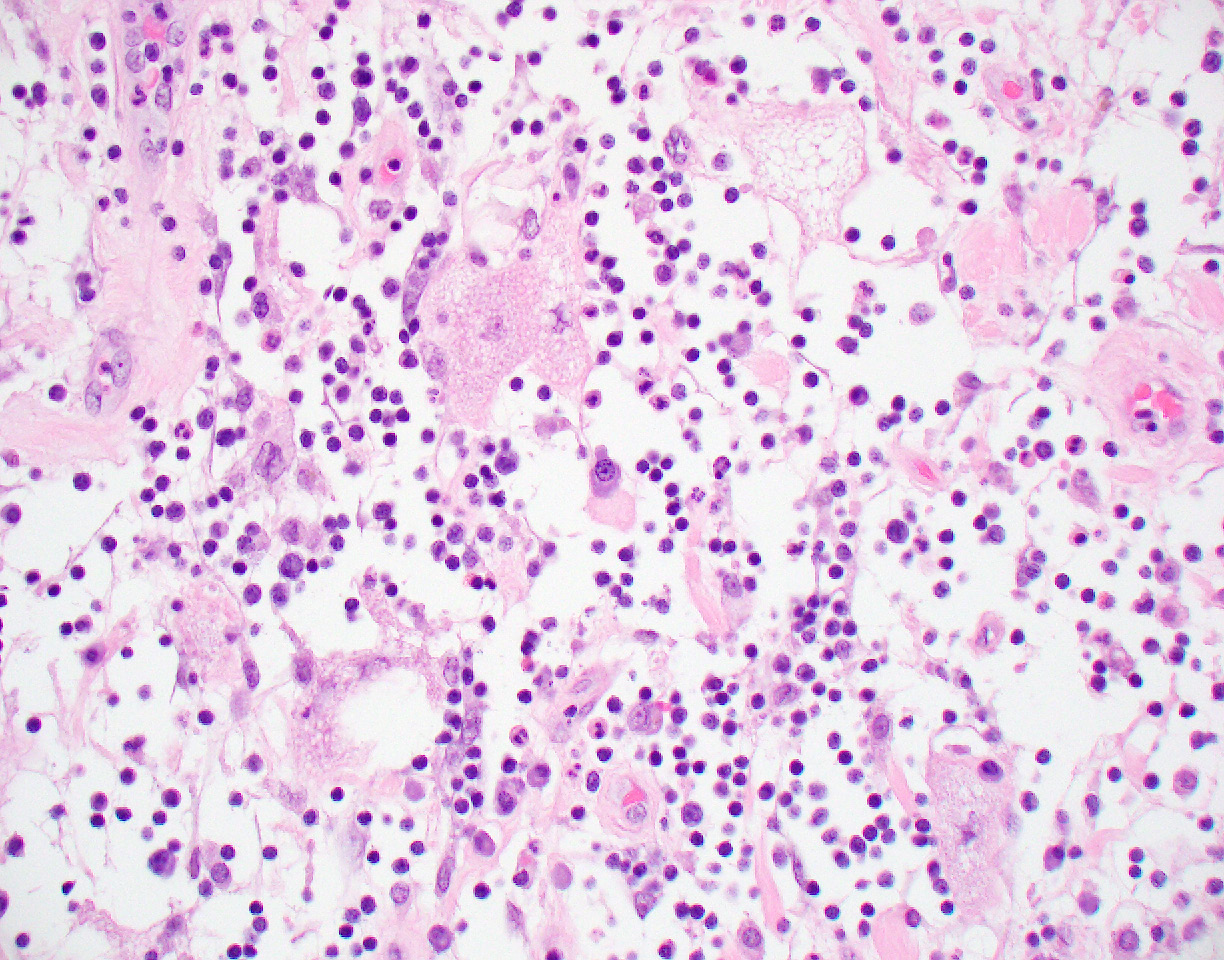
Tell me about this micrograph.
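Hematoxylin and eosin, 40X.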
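This field shows scattered brown fat cells lying in a loose, pale stroma that is crowded with inflammatory cells. The fat cells are large and polygonal. Their pink cytoplasm is filled with many fine vacuoles, giving it a bubbly, foamy look, and each has a small nucleus near its center. This differs from ordinary white fat, where one big droplet pushes the nucleus to the edge. Around and between them lie very many small round cells with dark, dense nuclei and scant cytoplasm. Some of these small cells have a little more cytoplasm and an off-center nucleus. Thin pink fibrous strands and small vessels with red blood cells run through the background.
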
